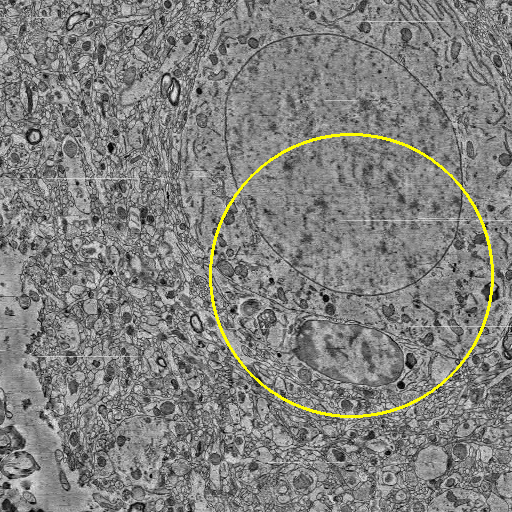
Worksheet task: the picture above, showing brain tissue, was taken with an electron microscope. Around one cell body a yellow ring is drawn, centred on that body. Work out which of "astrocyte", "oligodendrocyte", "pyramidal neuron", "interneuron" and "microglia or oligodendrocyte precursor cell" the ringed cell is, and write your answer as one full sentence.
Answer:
It is a pyramidal neuron whose cell body lies at the centre of the yellow ring.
